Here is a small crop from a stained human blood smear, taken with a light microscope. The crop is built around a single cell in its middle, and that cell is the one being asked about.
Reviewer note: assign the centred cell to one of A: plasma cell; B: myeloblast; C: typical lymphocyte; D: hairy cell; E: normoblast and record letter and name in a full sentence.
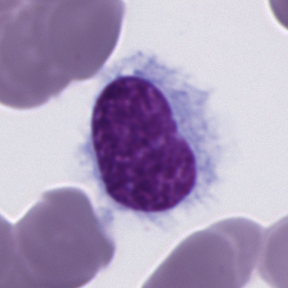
The cell centered in the crop is a hairy cell, making option D the correct pick.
